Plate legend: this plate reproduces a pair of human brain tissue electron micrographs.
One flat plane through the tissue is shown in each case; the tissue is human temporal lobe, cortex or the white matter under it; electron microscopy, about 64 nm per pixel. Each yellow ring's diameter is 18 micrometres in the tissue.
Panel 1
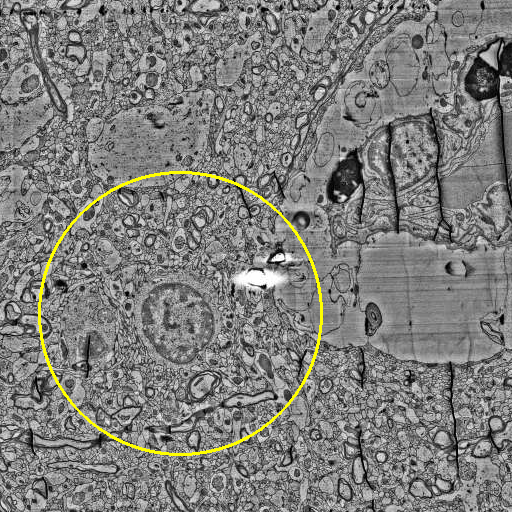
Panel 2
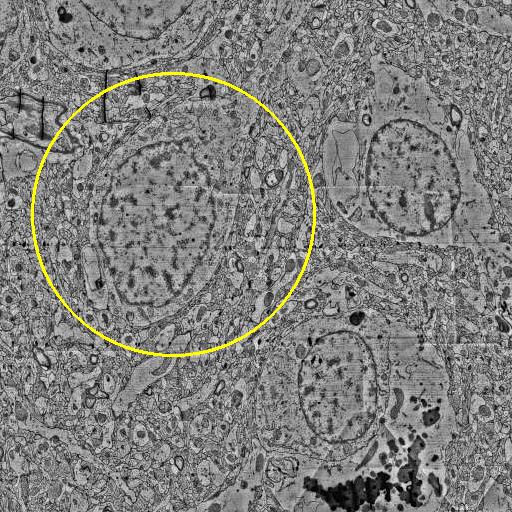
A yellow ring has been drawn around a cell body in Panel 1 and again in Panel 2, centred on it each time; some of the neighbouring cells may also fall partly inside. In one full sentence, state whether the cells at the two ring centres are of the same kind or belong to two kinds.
The ring-centred cells of Panel 1 and Panel 2 belong to two kinds.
